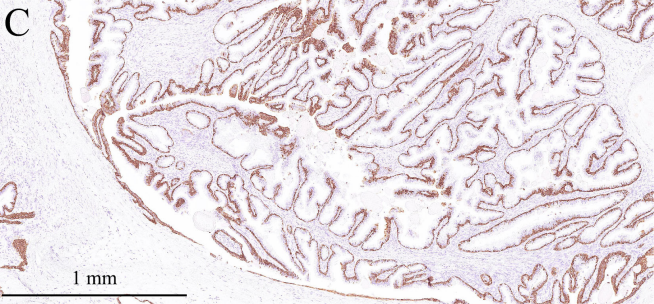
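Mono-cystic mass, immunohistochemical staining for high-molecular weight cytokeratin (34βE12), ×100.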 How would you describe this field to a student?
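The same branching papillary fronds are seen, and a continuous thin brown layer outlines the epithelium of each frond, marking the basal cells. The stromal cores and the surrounding wall stay pale blue, so the brown layer traces the branching pattern like a drawn outline.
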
